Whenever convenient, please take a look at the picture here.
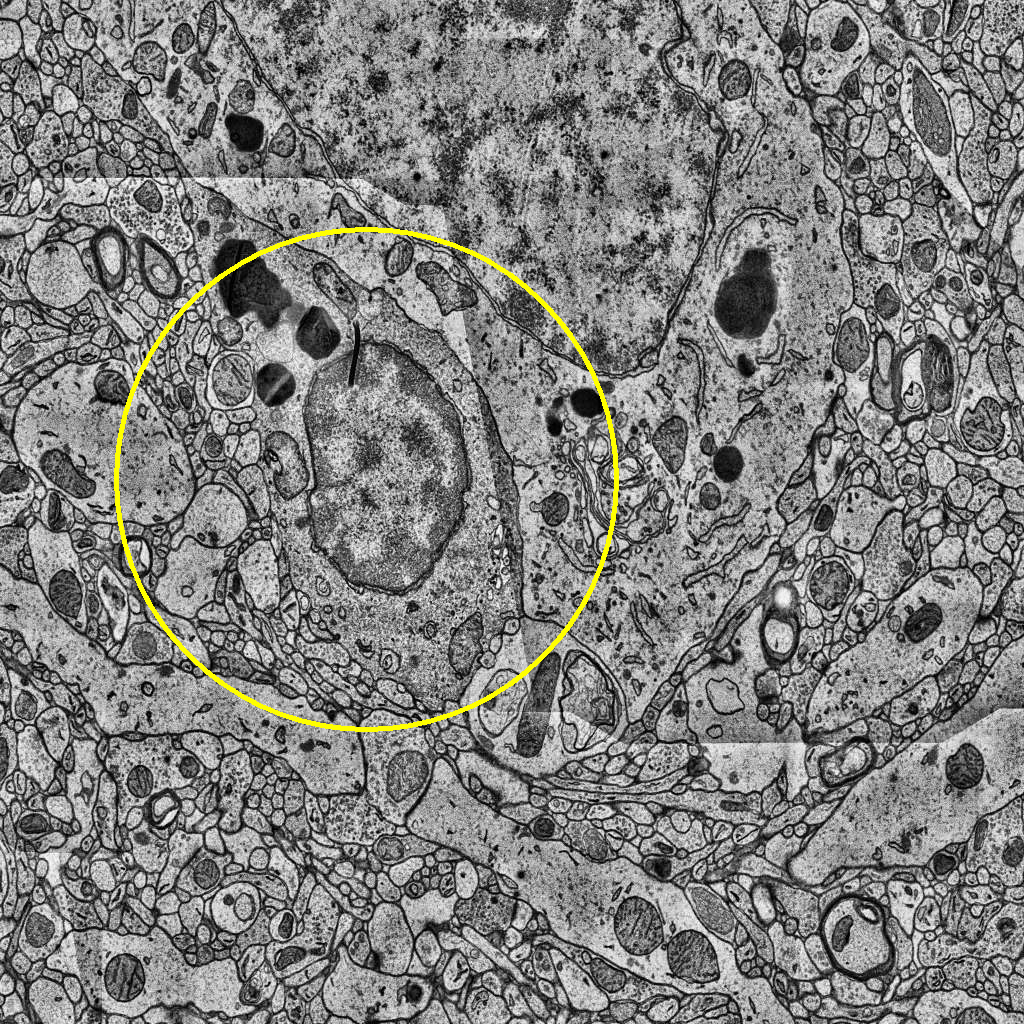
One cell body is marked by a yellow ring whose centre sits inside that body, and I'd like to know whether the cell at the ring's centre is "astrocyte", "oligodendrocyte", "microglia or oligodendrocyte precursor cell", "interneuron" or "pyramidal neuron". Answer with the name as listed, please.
oligodendrocyte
